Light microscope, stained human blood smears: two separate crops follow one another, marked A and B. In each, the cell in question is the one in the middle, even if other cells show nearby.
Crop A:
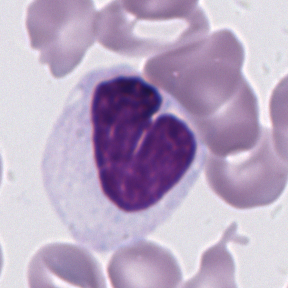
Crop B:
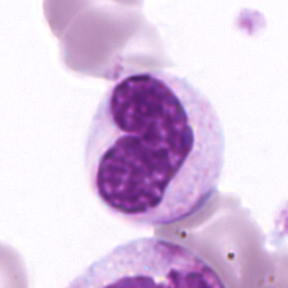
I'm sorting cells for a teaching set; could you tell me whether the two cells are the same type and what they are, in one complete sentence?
Yes, the cells at the centre of the two crops are both band neutrophils.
